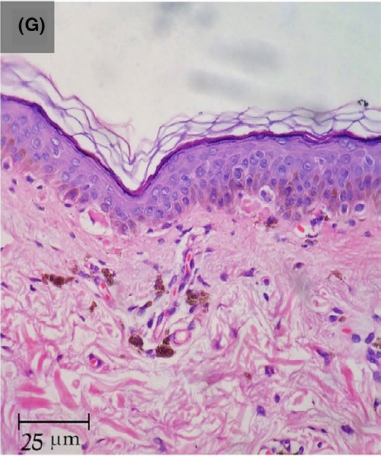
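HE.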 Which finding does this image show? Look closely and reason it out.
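Clumps of brown pigment lie free or within cells in the upper dermis below the epidermis. Brown pigment granules also sit in the lower epidermal layer. On this evidence: marked melanin incontinence.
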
